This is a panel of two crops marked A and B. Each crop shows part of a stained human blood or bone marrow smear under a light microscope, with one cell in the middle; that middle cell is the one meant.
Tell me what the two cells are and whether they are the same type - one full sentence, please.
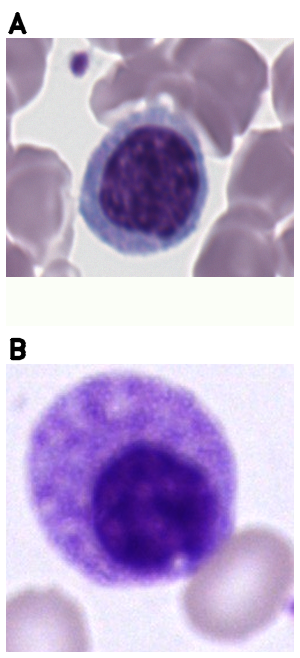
No, in crop B the central cell is a myelocyte, and in crop A it is a monocyte.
